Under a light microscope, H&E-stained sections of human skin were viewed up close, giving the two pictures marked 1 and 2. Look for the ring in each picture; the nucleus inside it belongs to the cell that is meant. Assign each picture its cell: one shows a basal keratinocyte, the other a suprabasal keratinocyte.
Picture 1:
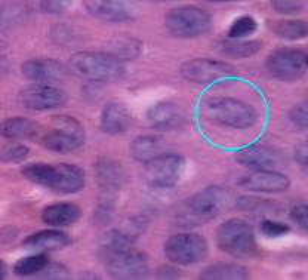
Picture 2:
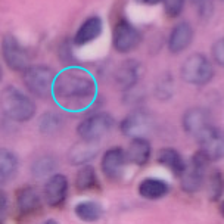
1: suprabasal keratinocyte
2: basal keratinocyte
